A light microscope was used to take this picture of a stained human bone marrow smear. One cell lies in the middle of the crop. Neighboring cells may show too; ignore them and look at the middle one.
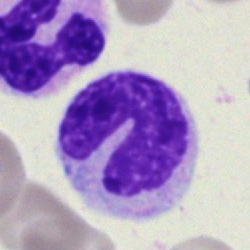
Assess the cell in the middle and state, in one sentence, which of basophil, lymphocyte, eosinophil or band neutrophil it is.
The central cell in this smear crop is a band neutrophil.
